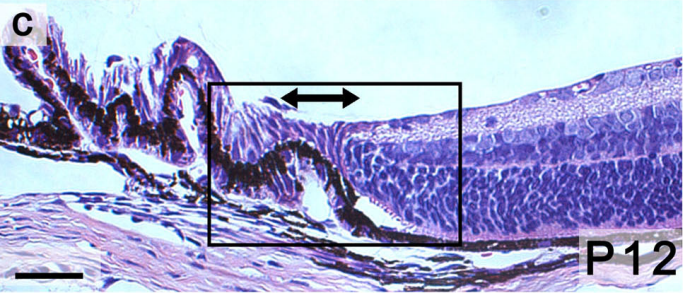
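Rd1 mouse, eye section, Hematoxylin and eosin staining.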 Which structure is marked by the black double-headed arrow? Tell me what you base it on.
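A dark pigmented band runs beneath this flat stretch.
Hence: pars plana.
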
